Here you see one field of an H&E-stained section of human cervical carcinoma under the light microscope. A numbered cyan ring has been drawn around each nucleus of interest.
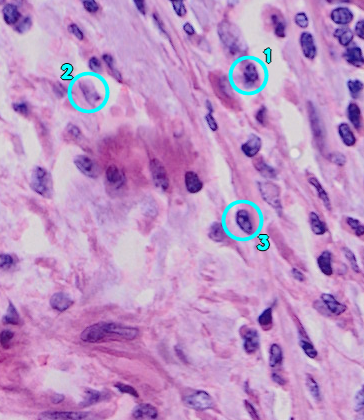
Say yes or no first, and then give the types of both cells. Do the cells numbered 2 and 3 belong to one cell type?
No, cell 2 is a fibroblast whereas cell 3 is a lymphocyte.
